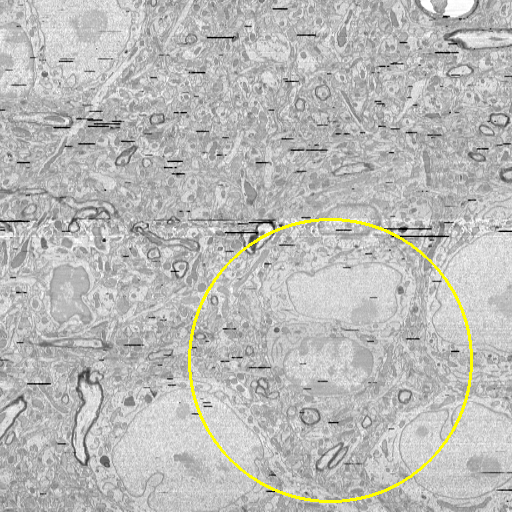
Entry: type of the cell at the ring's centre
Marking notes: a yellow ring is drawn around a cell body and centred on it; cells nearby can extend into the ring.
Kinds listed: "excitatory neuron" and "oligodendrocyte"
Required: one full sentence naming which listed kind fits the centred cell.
My entry names an oligodendrocyte as the cell whose body the yellow ring centres on.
